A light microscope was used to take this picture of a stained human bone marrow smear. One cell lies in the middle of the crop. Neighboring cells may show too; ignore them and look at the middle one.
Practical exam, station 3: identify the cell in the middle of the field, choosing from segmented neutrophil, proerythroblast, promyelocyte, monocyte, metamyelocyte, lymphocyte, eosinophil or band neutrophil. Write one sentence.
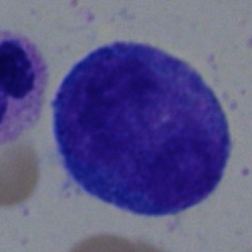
The cell of interest, located centrally, is a promyelocyte.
